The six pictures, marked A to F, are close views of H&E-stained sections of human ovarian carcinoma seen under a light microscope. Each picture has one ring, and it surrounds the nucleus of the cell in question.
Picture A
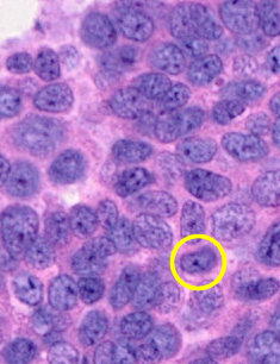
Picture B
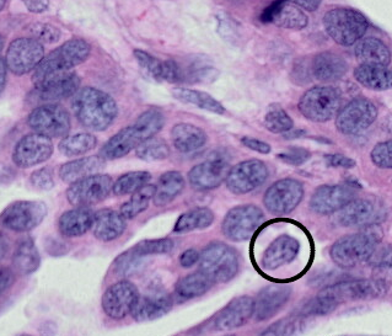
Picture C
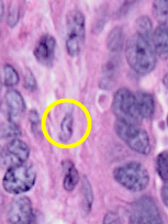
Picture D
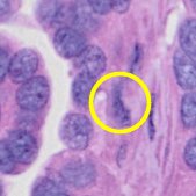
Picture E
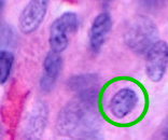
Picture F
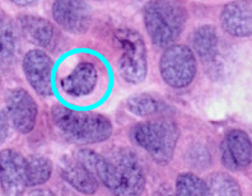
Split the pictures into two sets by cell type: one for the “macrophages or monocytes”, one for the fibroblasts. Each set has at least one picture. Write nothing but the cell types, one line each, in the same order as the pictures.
macrophage or monocyte
macrophage or monocyte
fibroblast
fibroblast
macrophage or monocyte
macrophage or monocyte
